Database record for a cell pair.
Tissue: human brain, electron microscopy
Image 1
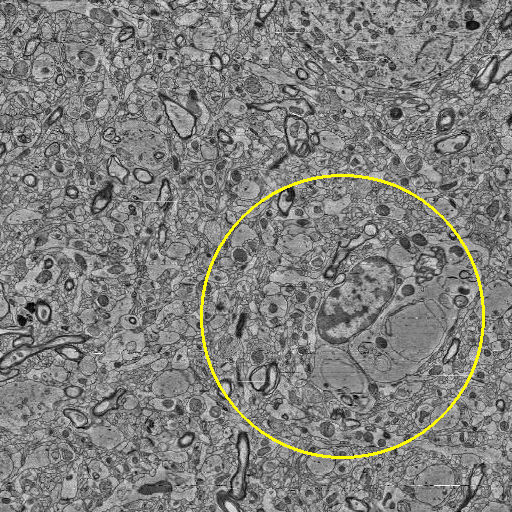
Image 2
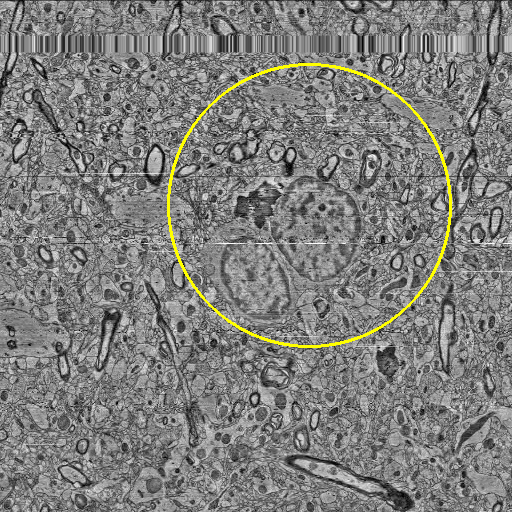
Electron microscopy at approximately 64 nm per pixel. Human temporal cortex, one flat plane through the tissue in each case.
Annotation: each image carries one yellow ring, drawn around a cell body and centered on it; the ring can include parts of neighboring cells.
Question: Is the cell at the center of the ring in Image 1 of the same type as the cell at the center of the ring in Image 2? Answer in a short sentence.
No, the cells are of two types.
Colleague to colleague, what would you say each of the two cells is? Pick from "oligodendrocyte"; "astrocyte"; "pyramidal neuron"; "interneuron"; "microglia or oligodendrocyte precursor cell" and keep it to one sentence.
The cell in the first picture is a microglial cell or oligodendrocyte precursor cell; the second picture's cell is an oligodendrocyte.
